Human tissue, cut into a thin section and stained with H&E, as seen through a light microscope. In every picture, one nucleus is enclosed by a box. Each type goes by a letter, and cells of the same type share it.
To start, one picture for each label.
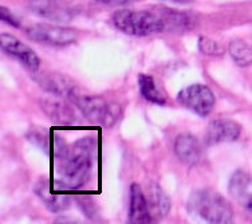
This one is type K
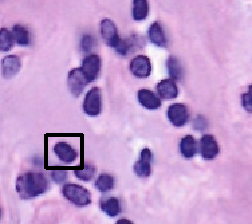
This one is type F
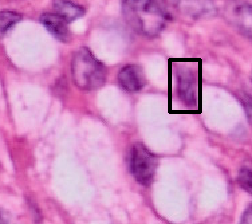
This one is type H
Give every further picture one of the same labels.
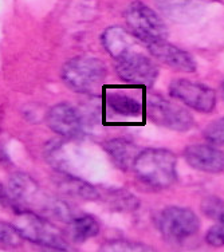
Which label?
type H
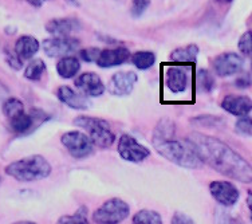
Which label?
type F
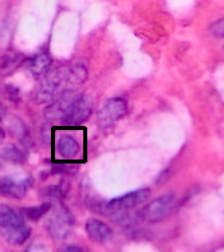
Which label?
type H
